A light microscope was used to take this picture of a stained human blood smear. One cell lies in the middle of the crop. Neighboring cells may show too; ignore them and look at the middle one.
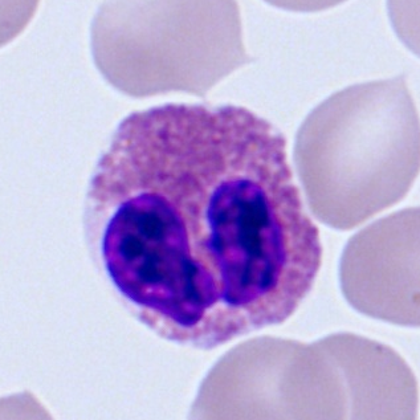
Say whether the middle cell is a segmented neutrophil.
no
